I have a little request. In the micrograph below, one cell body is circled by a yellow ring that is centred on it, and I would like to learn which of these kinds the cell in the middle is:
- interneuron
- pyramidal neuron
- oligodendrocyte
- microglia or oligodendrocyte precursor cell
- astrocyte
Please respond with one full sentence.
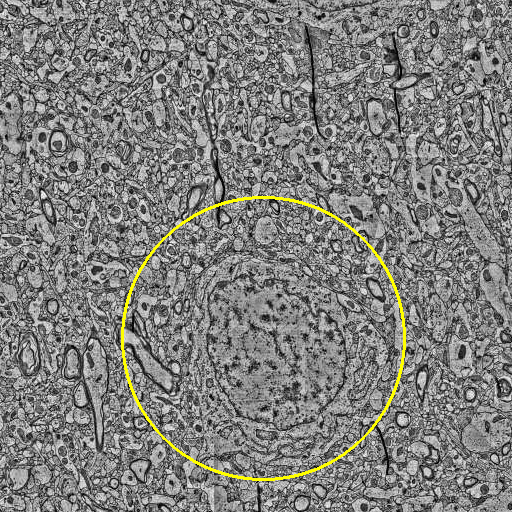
The cell sitting in the middle of the yellow ring in the micrograph is a pyramidal neuron.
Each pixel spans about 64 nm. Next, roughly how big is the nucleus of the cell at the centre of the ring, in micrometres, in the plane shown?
The ringed cell's nucleus is about 10 micrometres long and 8 micrometres wide in this plane.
